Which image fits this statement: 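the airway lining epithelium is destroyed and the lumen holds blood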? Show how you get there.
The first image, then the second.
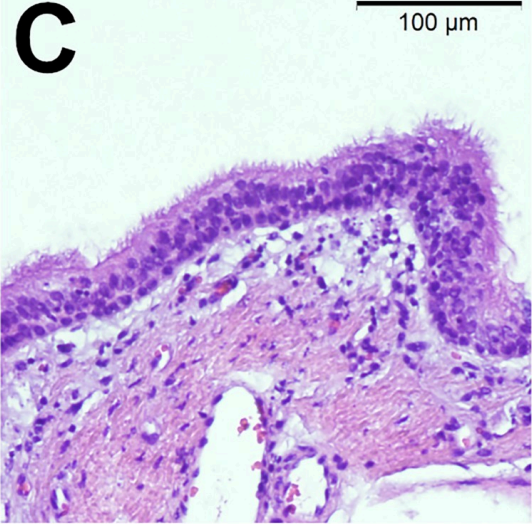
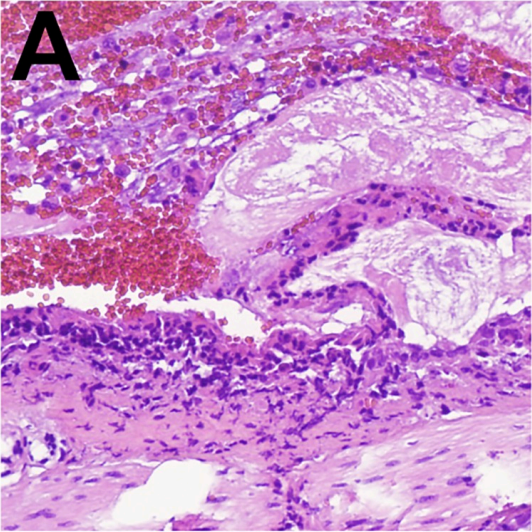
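First image: a continuous, orderly layer of columnar cells with a ciliated surface lines the airway, and the lumen is empty. Second image: the lining is disrupted, with pale amorphous debris and masses of red blood cells on the luminal side. The answer: the second image.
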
